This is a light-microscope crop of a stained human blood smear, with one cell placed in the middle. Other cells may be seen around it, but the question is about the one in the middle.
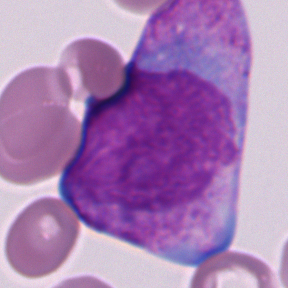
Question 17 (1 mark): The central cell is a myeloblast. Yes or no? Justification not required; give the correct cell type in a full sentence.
No, the cell sitting in the centre of the crop is an atypical promyelocyte, not a myeloblast.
